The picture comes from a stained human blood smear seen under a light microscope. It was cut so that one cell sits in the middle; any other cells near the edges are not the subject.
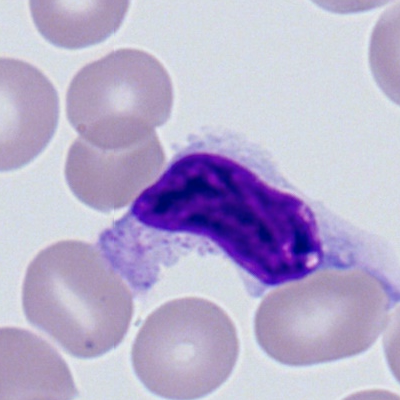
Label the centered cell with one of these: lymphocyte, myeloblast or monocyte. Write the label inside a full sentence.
The middle position in this crop is taken by a lymphocyte.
